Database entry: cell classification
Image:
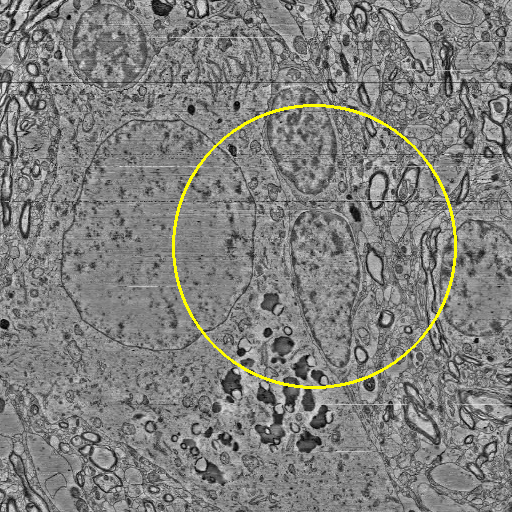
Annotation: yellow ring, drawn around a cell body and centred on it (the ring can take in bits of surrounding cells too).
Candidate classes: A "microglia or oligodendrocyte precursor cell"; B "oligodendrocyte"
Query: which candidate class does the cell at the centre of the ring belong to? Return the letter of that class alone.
A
